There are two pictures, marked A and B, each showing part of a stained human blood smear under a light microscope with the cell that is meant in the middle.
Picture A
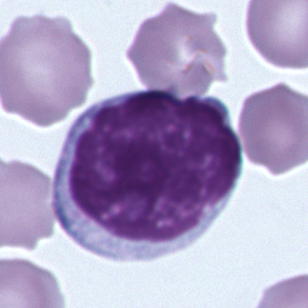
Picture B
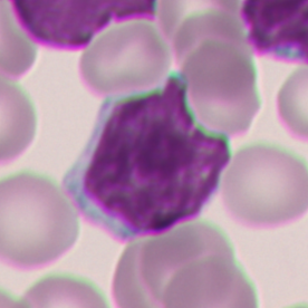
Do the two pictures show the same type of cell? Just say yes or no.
yes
